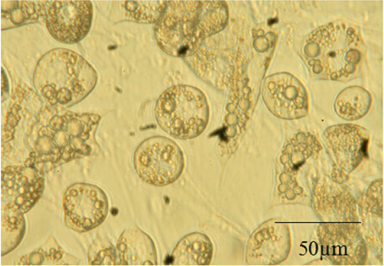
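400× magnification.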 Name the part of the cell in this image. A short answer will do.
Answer: Fat droplets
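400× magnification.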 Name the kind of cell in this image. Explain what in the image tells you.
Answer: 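Large rounded cells packed with many clear droplets. Flatter cells without droplets lie between them. That points to this answer: adipocytes.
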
